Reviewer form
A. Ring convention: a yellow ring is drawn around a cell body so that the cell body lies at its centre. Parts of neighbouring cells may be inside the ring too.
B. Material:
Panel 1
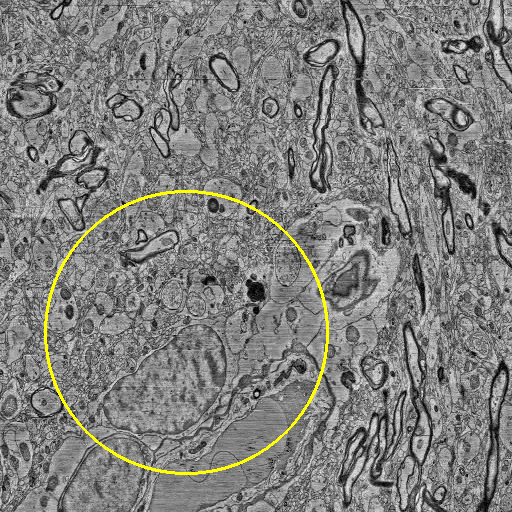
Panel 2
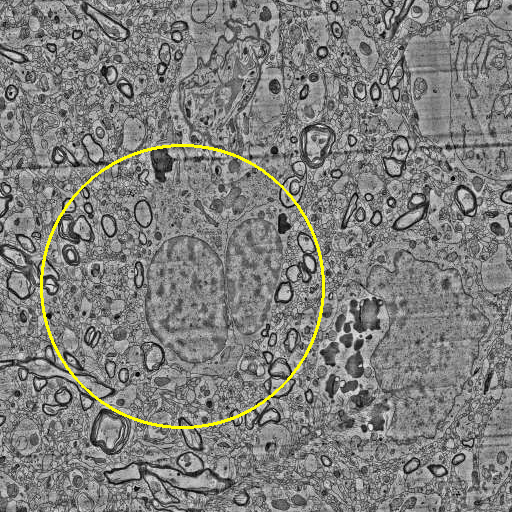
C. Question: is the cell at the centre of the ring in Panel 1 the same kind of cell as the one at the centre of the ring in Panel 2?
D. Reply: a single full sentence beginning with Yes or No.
No, the cells in Panel 1 and Panel 2 are two kinds of cell.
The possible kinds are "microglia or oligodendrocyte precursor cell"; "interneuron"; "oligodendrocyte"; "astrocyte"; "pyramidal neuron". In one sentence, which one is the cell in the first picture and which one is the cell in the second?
The cell ringed in the second picture is an oligodendrocyte, whereas the one ringed in the first is a microglial cell or oligodendrocyte precursor cell.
